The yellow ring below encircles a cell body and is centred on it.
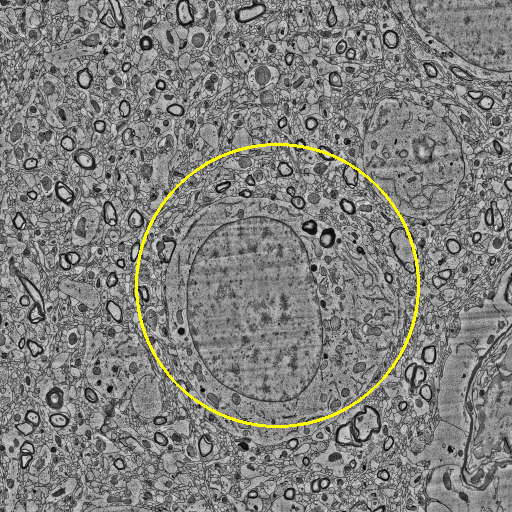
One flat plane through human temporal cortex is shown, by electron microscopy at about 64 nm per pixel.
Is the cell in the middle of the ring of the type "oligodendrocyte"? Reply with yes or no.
no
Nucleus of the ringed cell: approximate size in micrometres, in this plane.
In this plane the nucleus is about 12 micrometres by 9.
